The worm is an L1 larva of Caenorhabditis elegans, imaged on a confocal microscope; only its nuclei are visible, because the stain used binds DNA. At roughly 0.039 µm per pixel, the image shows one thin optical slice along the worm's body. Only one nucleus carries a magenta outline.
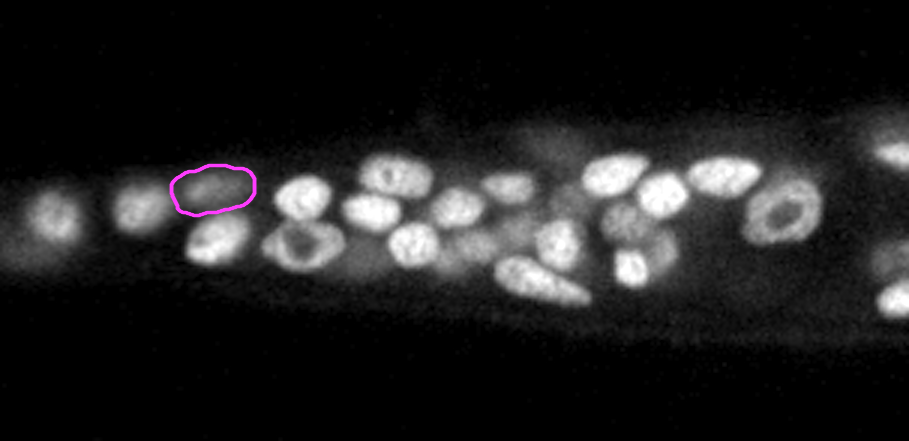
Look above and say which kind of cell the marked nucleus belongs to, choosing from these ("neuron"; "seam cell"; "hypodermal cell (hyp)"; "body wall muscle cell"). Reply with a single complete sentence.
What is marked is the nucleus of a hypodermal cell (hyp).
